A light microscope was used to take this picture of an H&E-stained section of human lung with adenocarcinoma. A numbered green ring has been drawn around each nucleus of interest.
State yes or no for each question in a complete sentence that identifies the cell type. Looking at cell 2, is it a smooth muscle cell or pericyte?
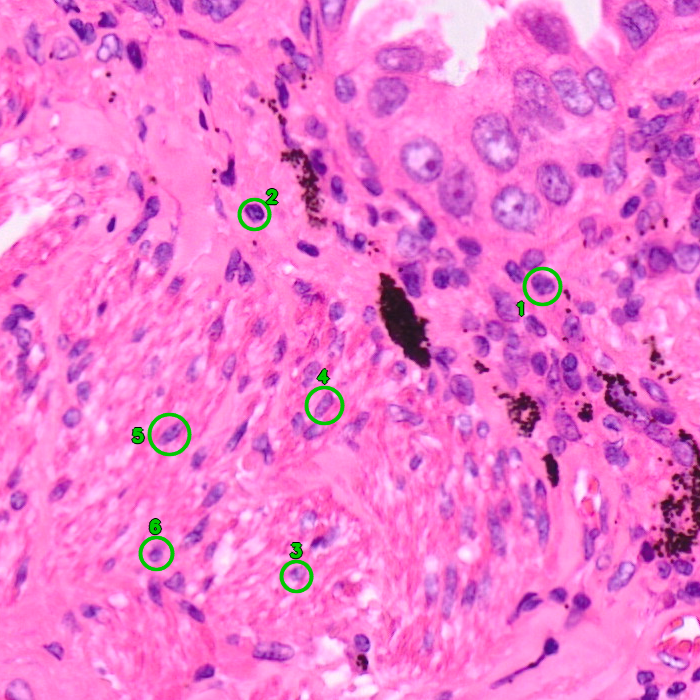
No, cell 2 is not a smooth muscle cell or pericyte: it is a lymphocyte.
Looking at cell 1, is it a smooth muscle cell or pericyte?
No, the cell under number 1 is a lymphocyte, not a smooth muscle cell or pericyte.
